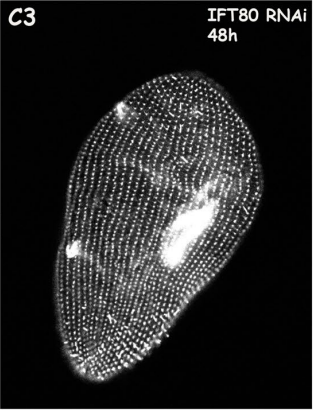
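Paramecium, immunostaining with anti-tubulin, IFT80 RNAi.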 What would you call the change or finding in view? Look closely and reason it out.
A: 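Lost almost all cilia. The oval cell surface shows ordered rows of bright dots. Almost no filaments project from the cell surface.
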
